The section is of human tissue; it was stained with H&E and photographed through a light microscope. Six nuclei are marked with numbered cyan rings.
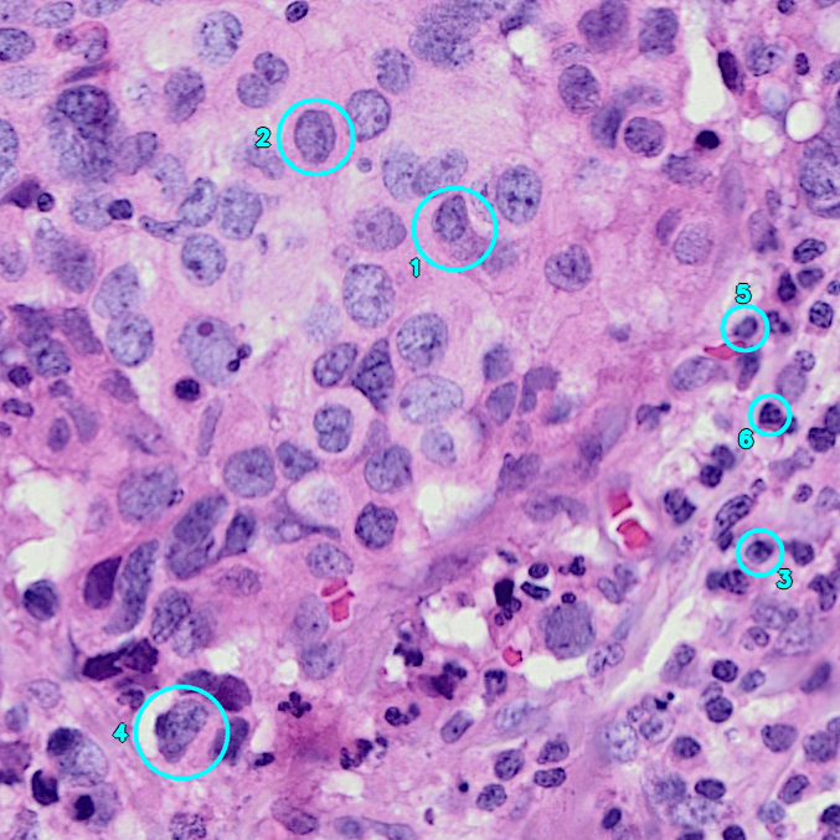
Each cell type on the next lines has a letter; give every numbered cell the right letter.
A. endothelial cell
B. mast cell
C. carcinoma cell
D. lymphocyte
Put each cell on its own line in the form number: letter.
1: C
2: C
3: D
4: C
5: D
6: D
